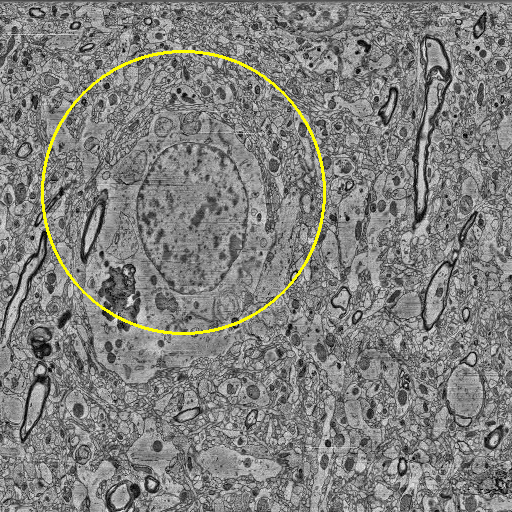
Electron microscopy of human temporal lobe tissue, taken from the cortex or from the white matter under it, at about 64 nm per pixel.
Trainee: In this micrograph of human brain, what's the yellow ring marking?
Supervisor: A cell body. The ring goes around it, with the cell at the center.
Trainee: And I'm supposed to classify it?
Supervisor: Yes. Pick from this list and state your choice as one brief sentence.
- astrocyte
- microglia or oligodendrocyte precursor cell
The cell at the ring's center is an astrocyte.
